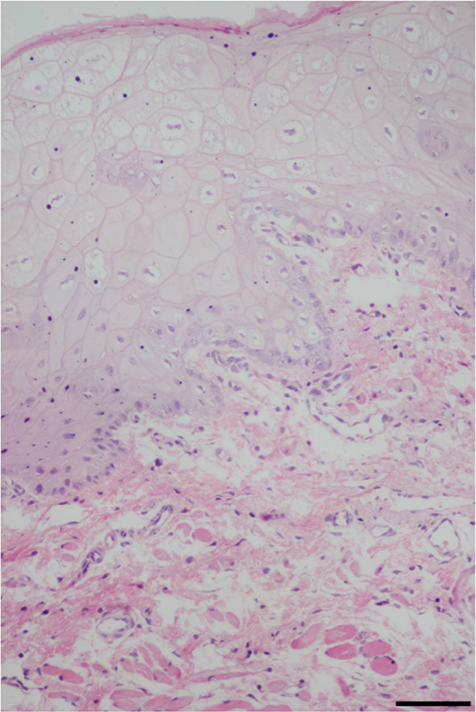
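Oral mucosal epithelium: a thick stratified squamous epithelium over a loose connective tissue. The upper layers consist of large, pale, polygonal cells with clear cytoplasm, sharp cell borders and small dark nuclei, and the surface carries no thick keratin layer. Toward the base the cells become smaller and more crowded, with darker purple nuclei, and the epithelium sends irregular ridges down into the underlying tissue. Beneath, the pink, loosely woven connective tissue holds scattered nuclei and small vessels, and near the bottom bundles of skeletal muscle fibres appear cut across as rounded, deep pink profiles.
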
